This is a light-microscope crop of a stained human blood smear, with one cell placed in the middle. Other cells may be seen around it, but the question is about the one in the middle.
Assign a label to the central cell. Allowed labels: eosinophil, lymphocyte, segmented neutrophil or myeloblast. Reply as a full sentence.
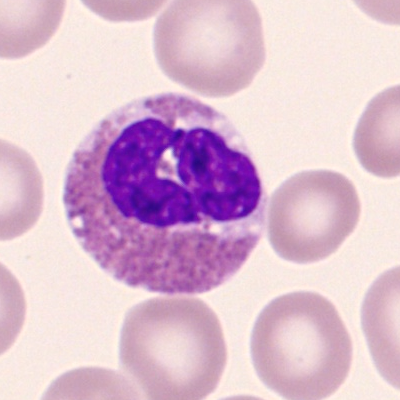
By classification, the middle cell of this crop is an eosinophil.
